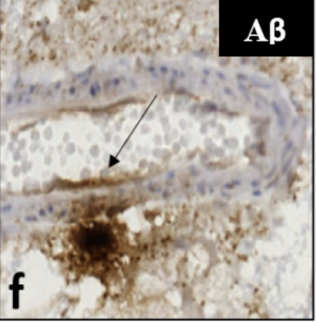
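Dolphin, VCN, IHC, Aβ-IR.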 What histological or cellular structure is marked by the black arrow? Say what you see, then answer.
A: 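The arrow points to a brown line within the wall of a vessel. A dark brown deposit lies just outside the vessel. The answer: vessel wall and endothelial lining.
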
